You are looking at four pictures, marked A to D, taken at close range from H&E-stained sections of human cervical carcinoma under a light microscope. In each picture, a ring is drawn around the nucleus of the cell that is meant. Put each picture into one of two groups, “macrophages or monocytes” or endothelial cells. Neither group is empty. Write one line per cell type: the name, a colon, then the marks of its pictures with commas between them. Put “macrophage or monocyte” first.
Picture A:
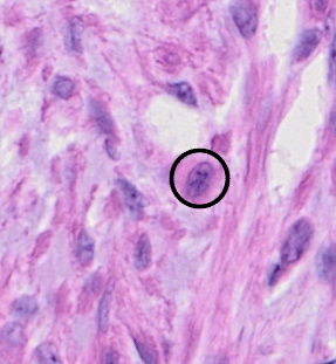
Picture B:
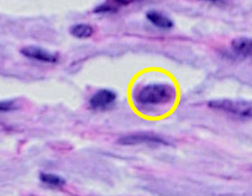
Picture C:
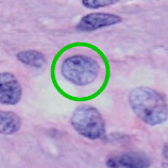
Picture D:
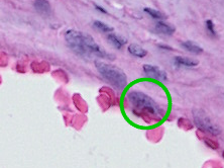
macrophage or monocyte: A, B
endothelial cell: C, D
